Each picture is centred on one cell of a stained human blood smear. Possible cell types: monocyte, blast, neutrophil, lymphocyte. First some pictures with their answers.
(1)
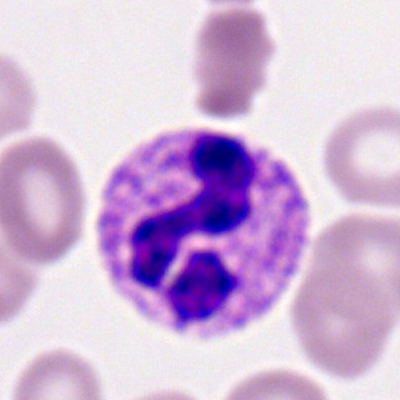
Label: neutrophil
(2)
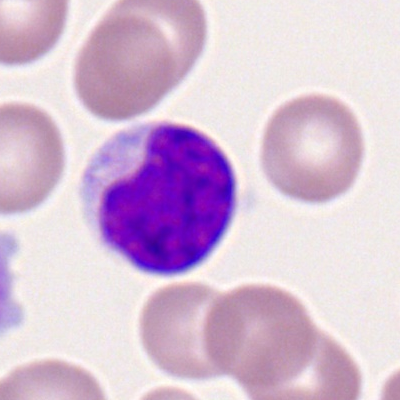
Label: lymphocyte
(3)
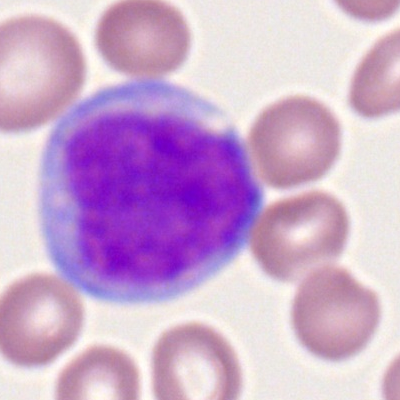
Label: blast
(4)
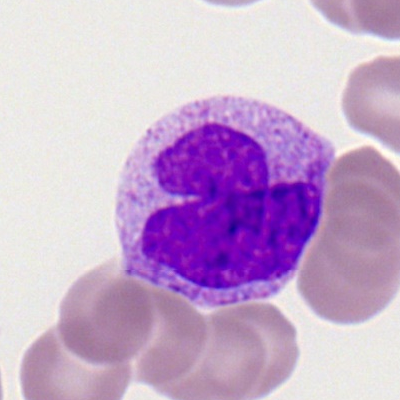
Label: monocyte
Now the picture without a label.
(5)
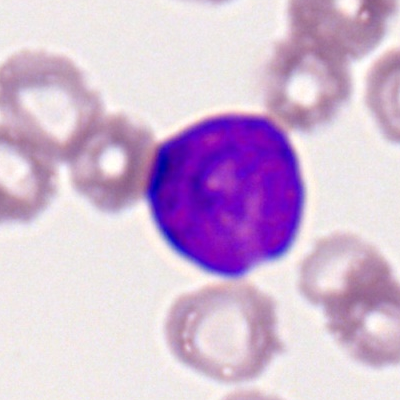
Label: blast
